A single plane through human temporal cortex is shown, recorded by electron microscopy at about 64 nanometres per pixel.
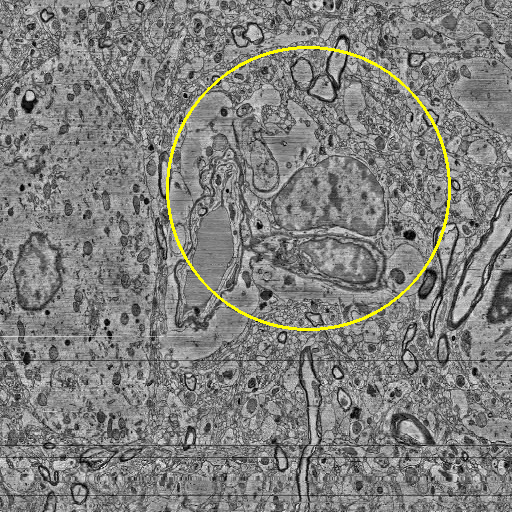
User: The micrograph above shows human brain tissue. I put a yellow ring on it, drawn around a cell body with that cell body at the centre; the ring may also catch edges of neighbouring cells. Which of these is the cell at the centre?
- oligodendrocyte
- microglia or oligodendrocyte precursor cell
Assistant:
microglia or oligodendrocyte precursor cell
